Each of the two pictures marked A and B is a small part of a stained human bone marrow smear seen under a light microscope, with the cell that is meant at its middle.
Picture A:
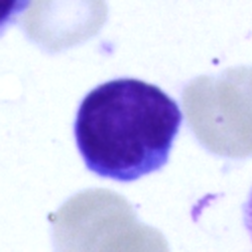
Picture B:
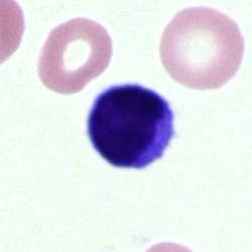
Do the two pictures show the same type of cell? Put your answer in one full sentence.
Yes, they are the same type: both are lymphocytes.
